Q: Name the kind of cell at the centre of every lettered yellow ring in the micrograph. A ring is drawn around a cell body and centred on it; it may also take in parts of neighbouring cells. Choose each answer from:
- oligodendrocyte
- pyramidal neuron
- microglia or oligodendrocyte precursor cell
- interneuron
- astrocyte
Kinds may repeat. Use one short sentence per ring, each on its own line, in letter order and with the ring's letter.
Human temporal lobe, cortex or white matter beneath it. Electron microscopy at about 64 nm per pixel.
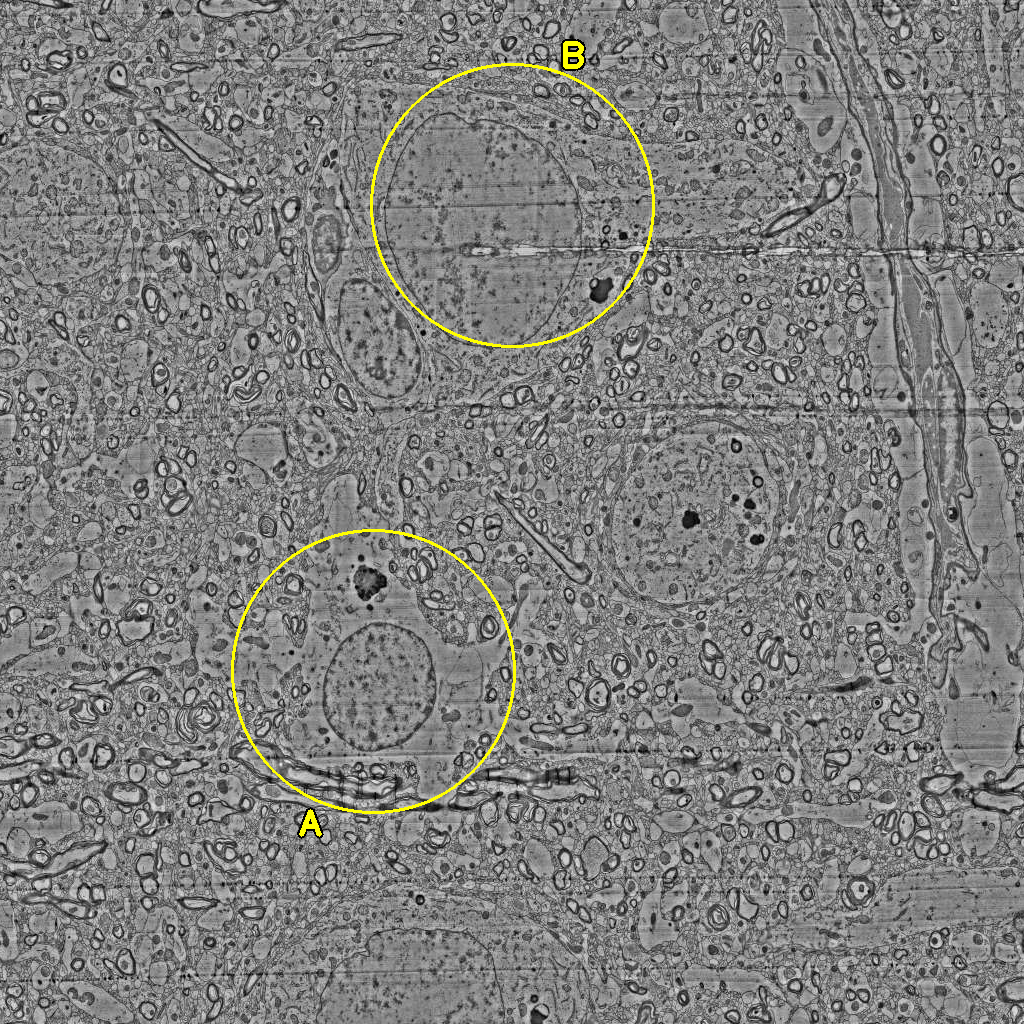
Ring A is placed around an astrocyte.
Ring B is placed around a pyramidal neuron.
